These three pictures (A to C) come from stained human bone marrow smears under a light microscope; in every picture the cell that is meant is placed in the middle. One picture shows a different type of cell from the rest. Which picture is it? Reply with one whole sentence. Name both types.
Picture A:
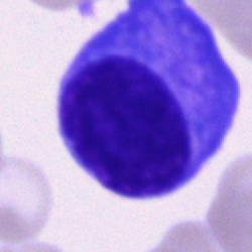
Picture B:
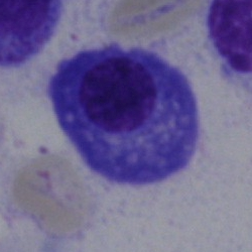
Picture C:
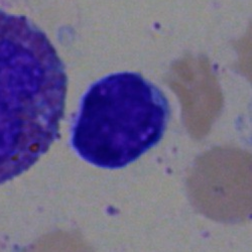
The others show plasma cells, but picture C shows a lymphocyte.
